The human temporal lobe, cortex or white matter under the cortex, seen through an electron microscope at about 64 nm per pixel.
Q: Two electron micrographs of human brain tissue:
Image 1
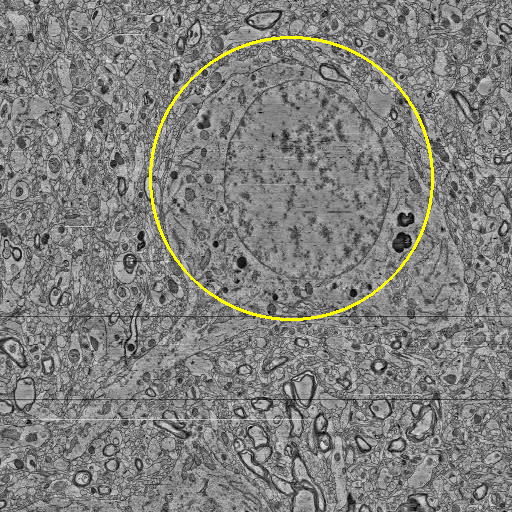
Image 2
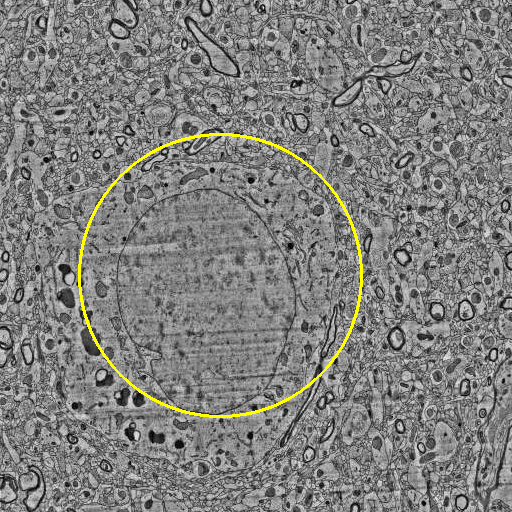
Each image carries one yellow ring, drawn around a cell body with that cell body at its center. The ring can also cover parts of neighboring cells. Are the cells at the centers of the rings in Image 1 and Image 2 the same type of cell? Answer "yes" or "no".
yes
